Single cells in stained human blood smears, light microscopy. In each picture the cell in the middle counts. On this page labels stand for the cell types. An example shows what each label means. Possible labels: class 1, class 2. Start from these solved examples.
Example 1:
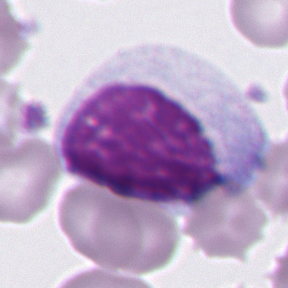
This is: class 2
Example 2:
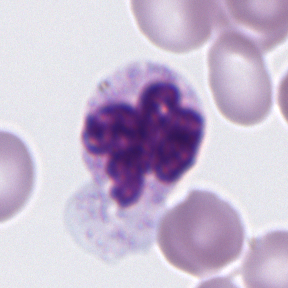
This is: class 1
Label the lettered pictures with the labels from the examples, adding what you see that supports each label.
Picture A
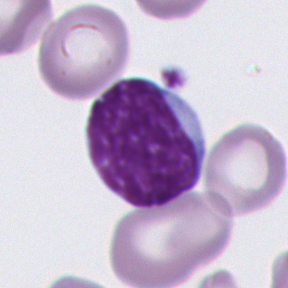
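Answer: class 2. The nucleus fills most of the cell.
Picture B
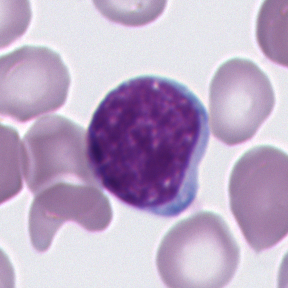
Answer: class 2. The cytoplasm is scant and forms only a narrow rim around the nucleus.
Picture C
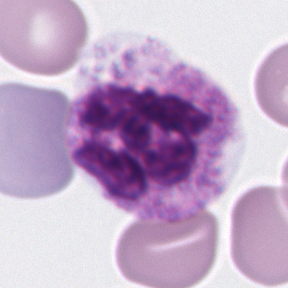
Answer: class 1. The cytoplasm is plentiful and pale pinkish.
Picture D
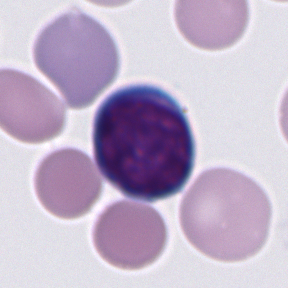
Answer: class 2. The cytoplasm is only a thin blue rim around the nucleus.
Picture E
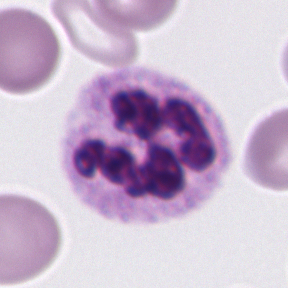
Answer: class 1. The nucleus is split into at least four separate lobes.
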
